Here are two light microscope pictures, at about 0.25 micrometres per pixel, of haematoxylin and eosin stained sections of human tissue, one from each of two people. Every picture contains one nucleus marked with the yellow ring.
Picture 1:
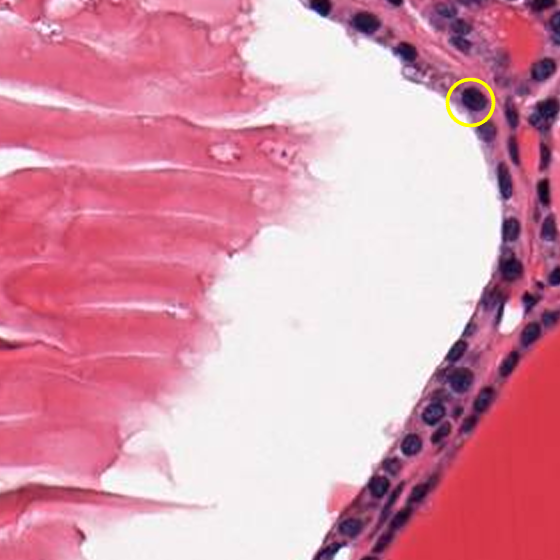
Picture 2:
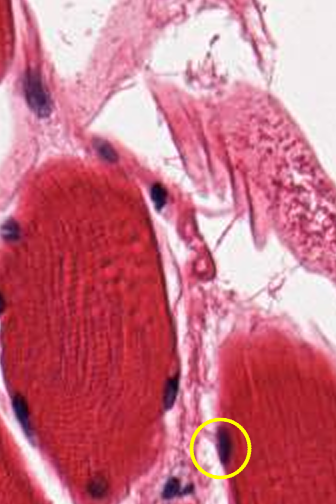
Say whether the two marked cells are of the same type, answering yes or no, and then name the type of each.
No, the first is a thyroid follicular cell and the second a skeletal muscle fibre.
